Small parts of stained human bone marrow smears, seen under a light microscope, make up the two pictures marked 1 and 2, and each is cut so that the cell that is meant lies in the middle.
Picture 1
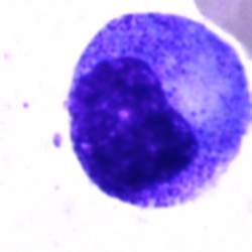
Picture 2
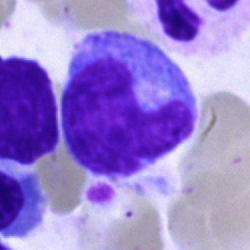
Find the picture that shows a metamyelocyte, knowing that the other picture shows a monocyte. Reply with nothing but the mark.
1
